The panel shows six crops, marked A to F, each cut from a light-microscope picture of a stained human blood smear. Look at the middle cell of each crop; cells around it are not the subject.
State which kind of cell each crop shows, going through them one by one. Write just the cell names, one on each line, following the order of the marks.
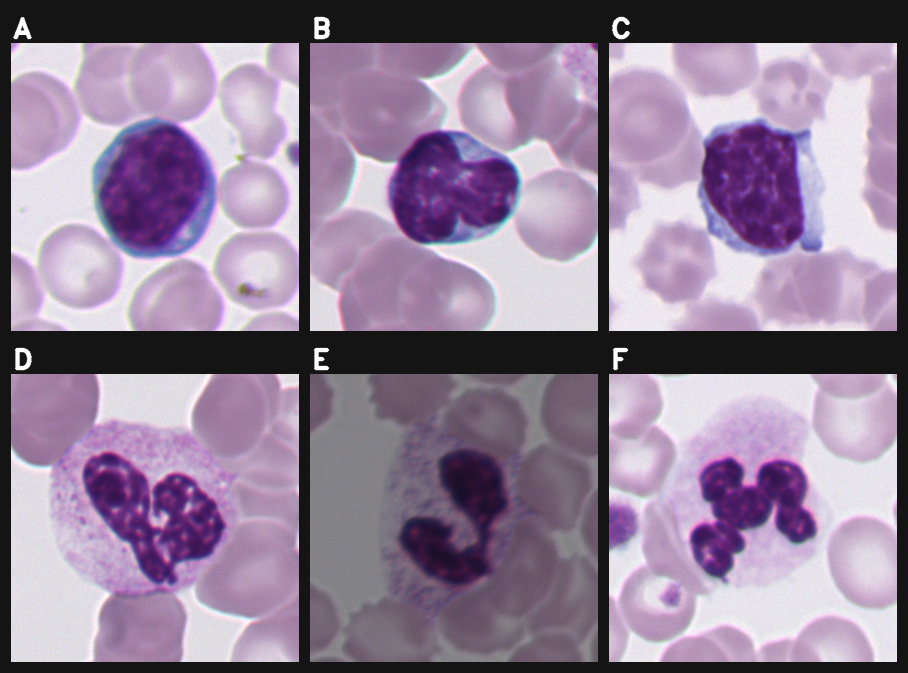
typical lymphocyte
typical lymphocyte
typical lymphocyte
segmented neutrophil
segmented neutrophil
segmented neutrophil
